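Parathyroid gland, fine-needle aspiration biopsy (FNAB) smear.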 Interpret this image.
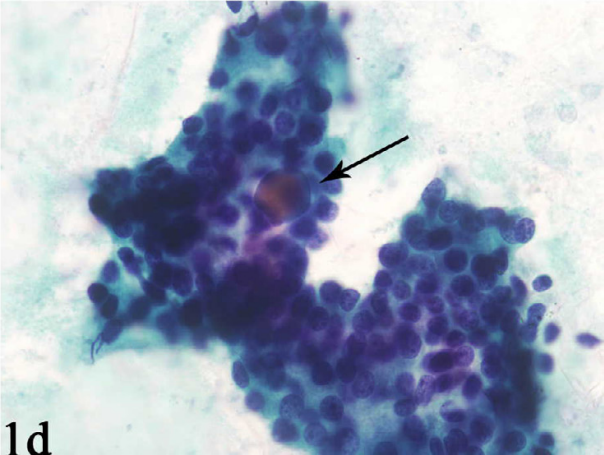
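The nuclei are round to oval, dark and closely packed, overlapping in the thicker parts of the cluster. Cytoplasm is scant and blue-green. The background is pale with little material.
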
